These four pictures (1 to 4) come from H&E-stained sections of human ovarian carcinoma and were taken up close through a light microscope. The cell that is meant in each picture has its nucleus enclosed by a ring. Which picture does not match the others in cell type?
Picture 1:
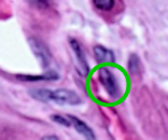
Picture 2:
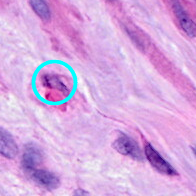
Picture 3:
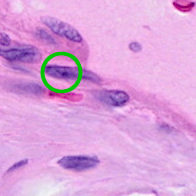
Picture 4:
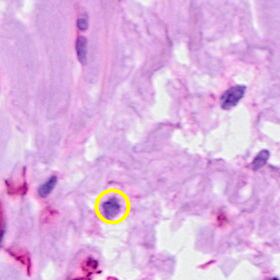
4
